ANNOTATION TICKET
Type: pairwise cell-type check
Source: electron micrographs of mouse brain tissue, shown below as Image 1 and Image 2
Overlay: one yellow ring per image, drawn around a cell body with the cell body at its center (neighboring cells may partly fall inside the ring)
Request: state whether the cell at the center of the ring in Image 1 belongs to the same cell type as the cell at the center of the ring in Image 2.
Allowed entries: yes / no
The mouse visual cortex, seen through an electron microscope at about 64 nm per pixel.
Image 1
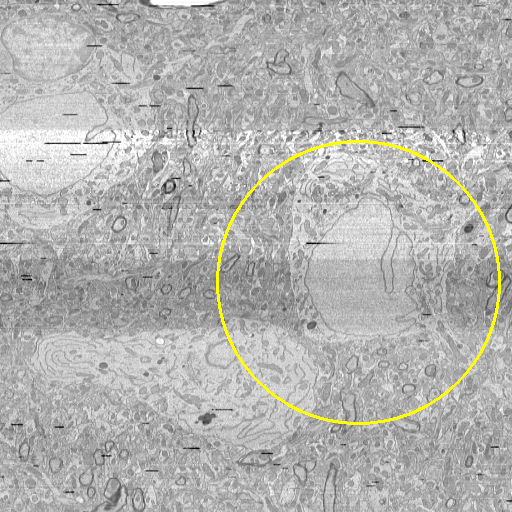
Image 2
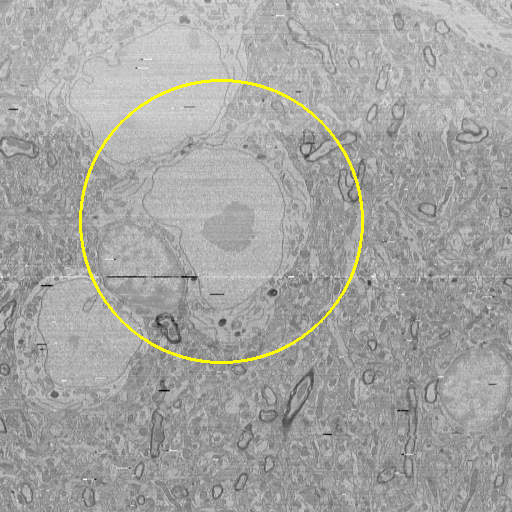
no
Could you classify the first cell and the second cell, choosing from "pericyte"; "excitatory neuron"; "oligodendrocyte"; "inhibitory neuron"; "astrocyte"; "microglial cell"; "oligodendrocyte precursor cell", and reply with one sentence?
The second cell is an excitatory neuron, while the first is an inhibitory neuron.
